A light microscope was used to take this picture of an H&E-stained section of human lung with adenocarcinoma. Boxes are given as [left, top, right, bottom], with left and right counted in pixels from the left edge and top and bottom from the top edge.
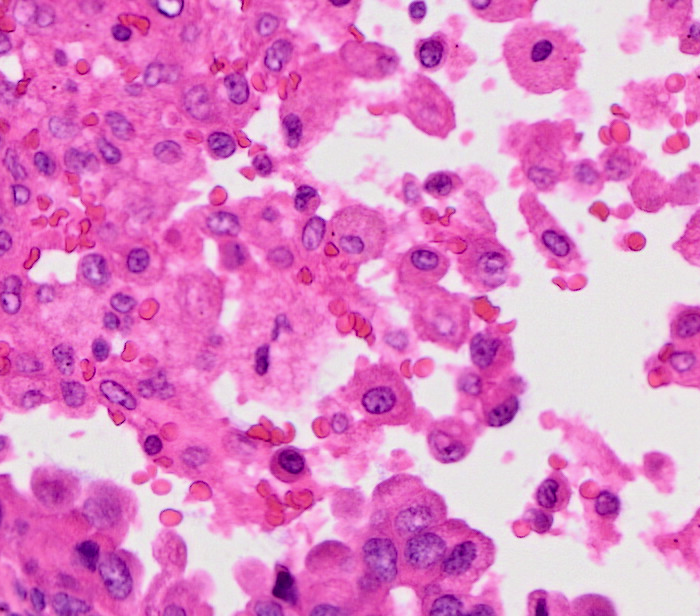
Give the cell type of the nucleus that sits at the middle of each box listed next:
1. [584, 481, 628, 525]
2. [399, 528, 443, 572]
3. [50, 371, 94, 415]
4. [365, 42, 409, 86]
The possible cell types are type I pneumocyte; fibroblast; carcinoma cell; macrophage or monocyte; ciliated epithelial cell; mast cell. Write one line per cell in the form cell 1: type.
cell 1: macrophage or monocyte
cell 2: carcinoma cell
cell 3: macrophage or monocyte
cell 4: macrophage or monocyte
